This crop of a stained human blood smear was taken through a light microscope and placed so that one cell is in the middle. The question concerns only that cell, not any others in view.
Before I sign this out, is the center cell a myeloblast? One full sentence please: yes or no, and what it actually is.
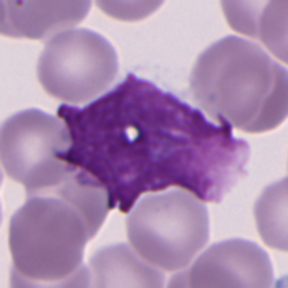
No, what is centred in the crop is not a myeloblast but a smudge cell.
